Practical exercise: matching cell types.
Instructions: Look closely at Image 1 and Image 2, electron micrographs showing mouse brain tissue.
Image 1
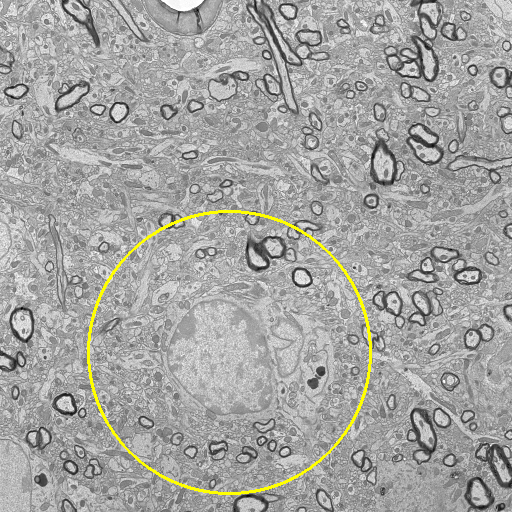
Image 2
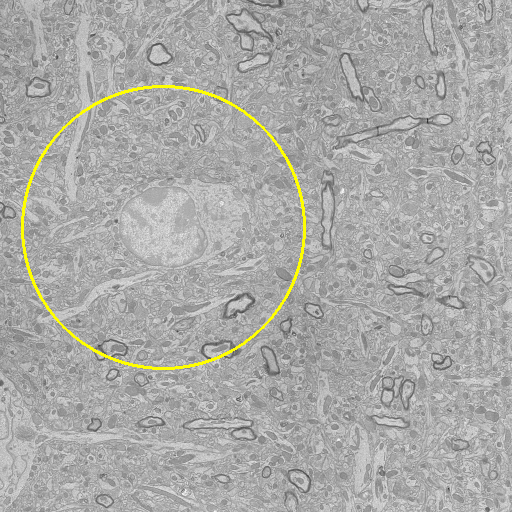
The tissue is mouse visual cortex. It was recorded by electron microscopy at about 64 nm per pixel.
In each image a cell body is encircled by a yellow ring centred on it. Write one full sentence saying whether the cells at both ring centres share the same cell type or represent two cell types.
Across Image 1 and Image 2, the cells at the ring centres share the same cell type.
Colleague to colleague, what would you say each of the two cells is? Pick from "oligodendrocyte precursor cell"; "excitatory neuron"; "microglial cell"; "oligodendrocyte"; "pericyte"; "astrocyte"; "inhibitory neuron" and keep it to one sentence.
Both cells are the same kind, each one being an oligodendrocyte.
